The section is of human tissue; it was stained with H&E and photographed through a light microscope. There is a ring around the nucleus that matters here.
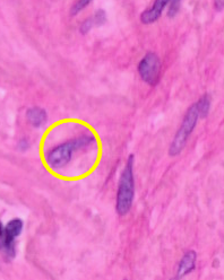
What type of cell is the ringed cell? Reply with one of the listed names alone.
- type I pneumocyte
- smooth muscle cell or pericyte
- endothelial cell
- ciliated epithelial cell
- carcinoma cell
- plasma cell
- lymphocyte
smooth muscle cell or pericyte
